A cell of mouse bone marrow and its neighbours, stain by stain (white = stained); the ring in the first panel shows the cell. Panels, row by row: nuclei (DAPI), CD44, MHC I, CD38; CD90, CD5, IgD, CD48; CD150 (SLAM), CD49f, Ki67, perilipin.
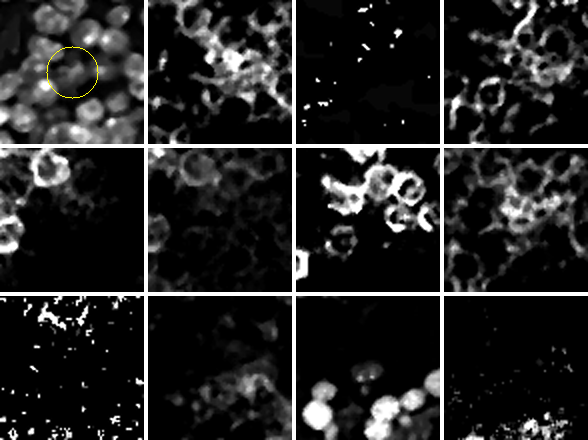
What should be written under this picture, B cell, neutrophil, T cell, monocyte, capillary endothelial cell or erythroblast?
monocyte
